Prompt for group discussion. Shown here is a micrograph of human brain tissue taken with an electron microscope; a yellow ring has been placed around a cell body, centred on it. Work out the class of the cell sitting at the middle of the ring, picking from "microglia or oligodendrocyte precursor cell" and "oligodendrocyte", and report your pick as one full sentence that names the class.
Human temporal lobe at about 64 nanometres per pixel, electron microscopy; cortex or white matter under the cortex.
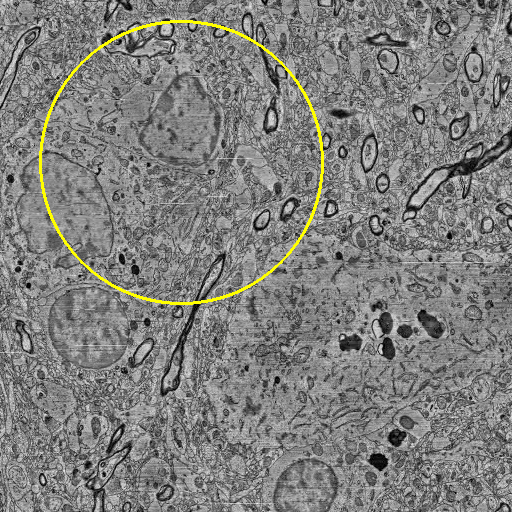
The cell sitting at the middle of the yellow ring is a microglial cell or oligodendrocyte precursor cell.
